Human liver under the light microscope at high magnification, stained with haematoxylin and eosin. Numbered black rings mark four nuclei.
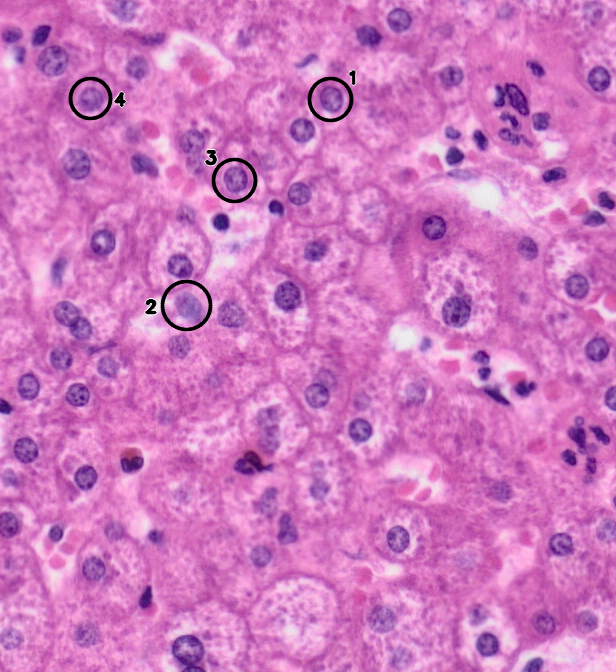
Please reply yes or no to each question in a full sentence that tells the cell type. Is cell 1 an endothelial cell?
No, number 1 is not an endothelial cell; it is a hepatocyte.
